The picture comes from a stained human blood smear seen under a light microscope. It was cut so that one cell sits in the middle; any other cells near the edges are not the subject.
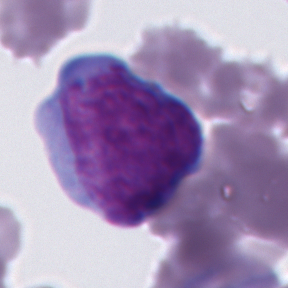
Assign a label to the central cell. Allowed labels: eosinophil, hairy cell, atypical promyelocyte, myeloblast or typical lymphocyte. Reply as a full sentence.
In the crop, the cell of interest at the centre is a myeloblast.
